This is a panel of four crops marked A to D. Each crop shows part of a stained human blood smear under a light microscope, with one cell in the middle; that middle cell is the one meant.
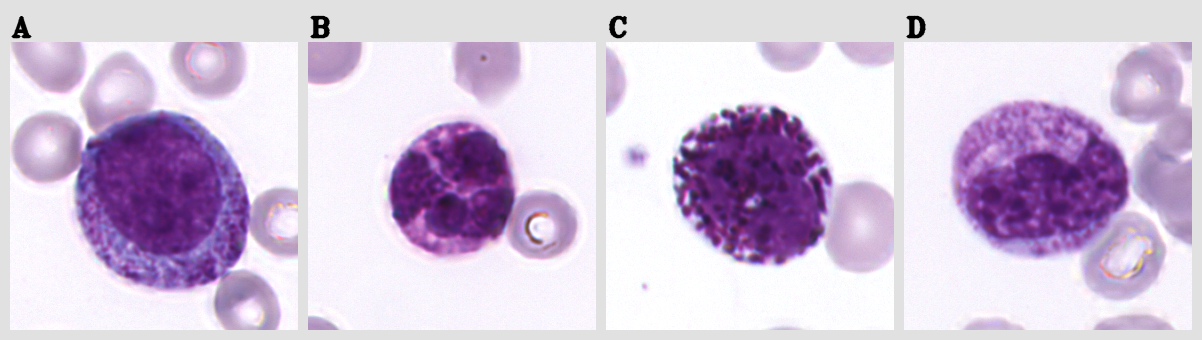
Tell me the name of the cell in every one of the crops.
A: promyelocyte
B: basophil
C: basophil
D: metamyelocyte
